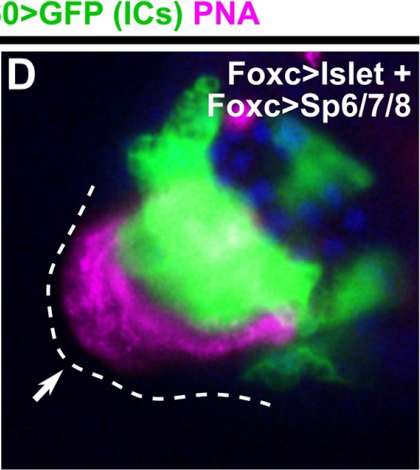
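The front of the larva bulges into one large rounded protrusion, outlined by a dashed line, filled by a big cluster of bright green cells. A thick pink crescent of granular staining lines the outer edge of this cluster at the tip.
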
